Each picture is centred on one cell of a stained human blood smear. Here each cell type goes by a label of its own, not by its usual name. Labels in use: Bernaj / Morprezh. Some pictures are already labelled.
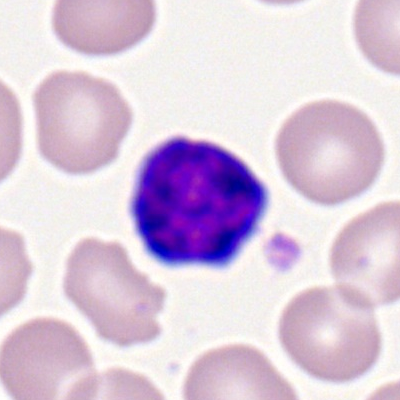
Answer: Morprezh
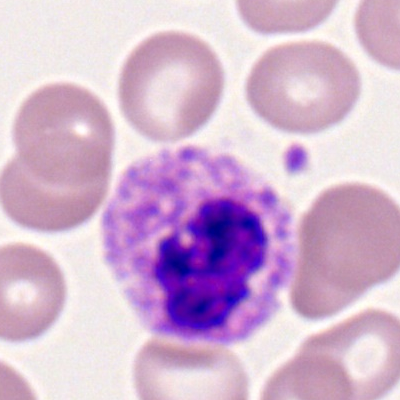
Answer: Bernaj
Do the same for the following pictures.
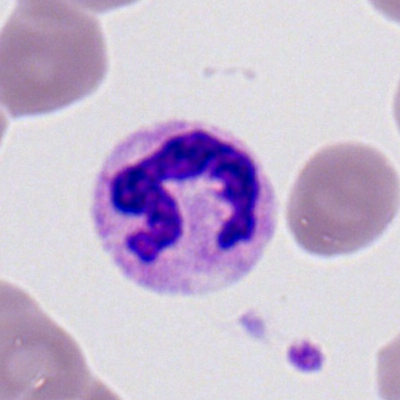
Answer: Bernaj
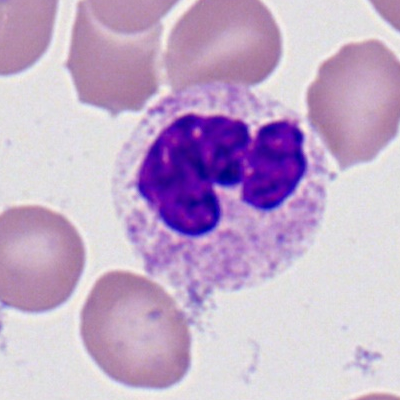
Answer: Bernaj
